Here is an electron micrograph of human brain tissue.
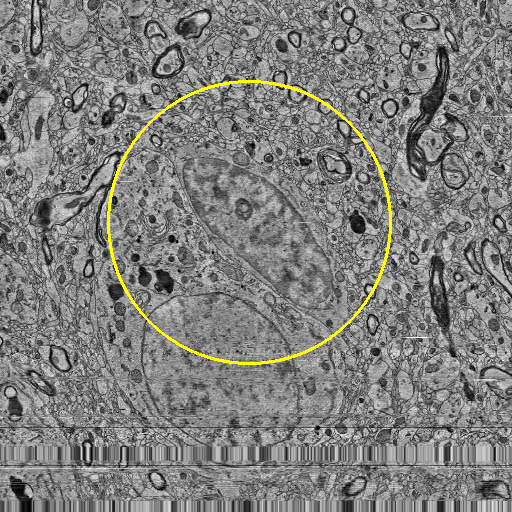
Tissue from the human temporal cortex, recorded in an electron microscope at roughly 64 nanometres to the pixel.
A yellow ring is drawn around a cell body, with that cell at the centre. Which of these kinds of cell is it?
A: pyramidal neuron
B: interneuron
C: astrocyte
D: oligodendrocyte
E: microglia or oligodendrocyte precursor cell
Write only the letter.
D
